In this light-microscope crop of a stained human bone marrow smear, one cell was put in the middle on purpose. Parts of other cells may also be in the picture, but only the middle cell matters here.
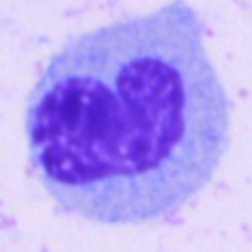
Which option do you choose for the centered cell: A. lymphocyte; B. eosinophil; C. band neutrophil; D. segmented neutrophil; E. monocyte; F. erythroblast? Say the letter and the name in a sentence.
The correct choice is option E, which identifies the middle cell as a monocyte.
